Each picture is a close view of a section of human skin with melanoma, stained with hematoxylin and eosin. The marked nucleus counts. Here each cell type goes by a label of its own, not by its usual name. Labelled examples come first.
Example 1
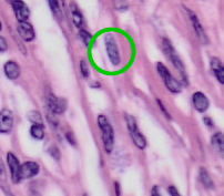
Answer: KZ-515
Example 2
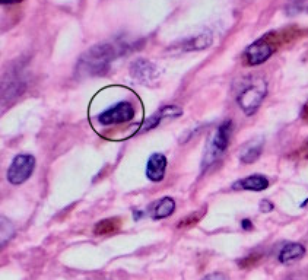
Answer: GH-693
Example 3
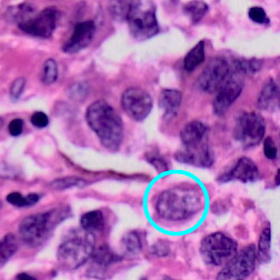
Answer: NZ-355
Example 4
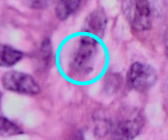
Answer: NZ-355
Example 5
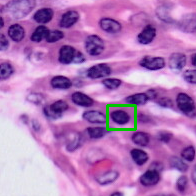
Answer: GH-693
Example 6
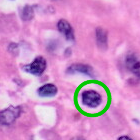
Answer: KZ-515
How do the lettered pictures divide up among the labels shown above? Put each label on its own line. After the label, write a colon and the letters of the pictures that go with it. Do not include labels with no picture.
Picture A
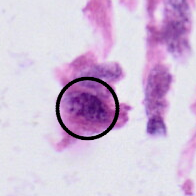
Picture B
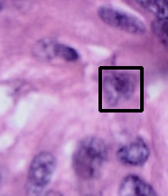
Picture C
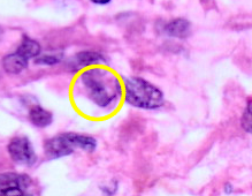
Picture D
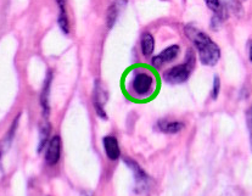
GH-693: D
NZ-355: A, B, C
